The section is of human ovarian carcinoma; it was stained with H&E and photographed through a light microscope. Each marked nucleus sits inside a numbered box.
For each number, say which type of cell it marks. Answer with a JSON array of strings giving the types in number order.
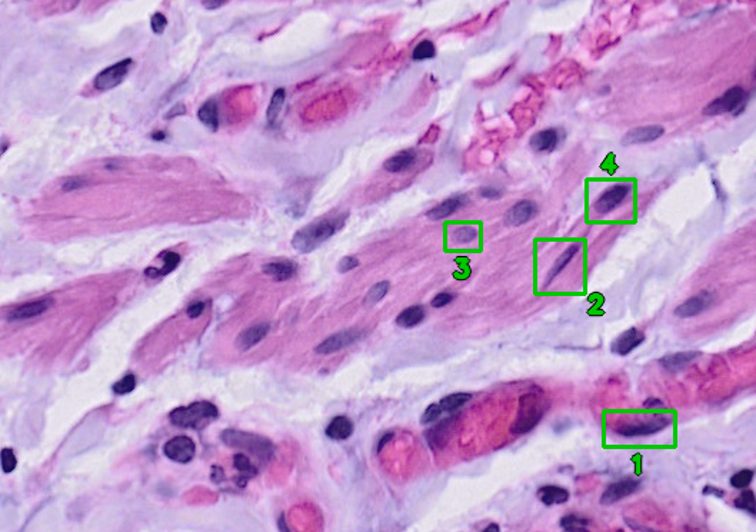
["endothelial cell", "smooth muscle cell", "smooth muscle cell", "smooth muscle cell"]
